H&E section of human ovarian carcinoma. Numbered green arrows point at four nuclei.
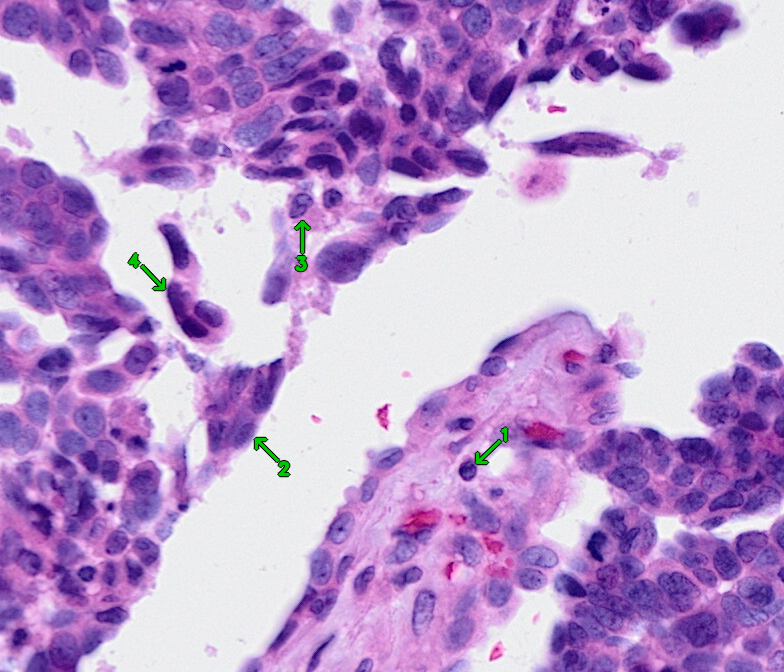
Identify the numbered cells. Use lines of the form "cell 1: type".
cell 1: lymphocyte
cell 2: carcinoma cell
cell 3: macrophage or monocyte
cell 4: carcinoma cell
